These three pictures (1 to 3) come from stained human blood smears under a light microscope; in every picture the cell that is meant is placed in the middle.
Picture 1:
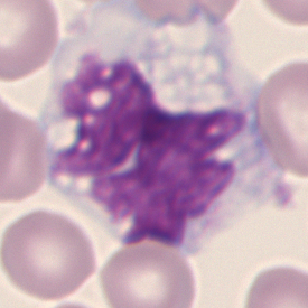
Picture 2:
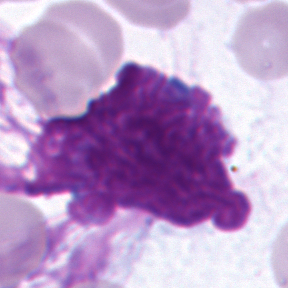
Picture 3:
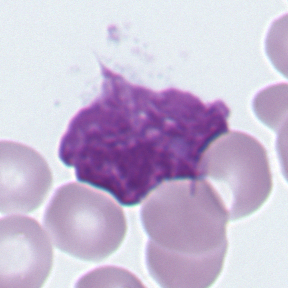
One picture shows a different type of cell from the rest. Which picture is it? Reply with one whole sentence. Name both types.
Unlike the rest, which show smudge cells, picture 1 shows a monocyte.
